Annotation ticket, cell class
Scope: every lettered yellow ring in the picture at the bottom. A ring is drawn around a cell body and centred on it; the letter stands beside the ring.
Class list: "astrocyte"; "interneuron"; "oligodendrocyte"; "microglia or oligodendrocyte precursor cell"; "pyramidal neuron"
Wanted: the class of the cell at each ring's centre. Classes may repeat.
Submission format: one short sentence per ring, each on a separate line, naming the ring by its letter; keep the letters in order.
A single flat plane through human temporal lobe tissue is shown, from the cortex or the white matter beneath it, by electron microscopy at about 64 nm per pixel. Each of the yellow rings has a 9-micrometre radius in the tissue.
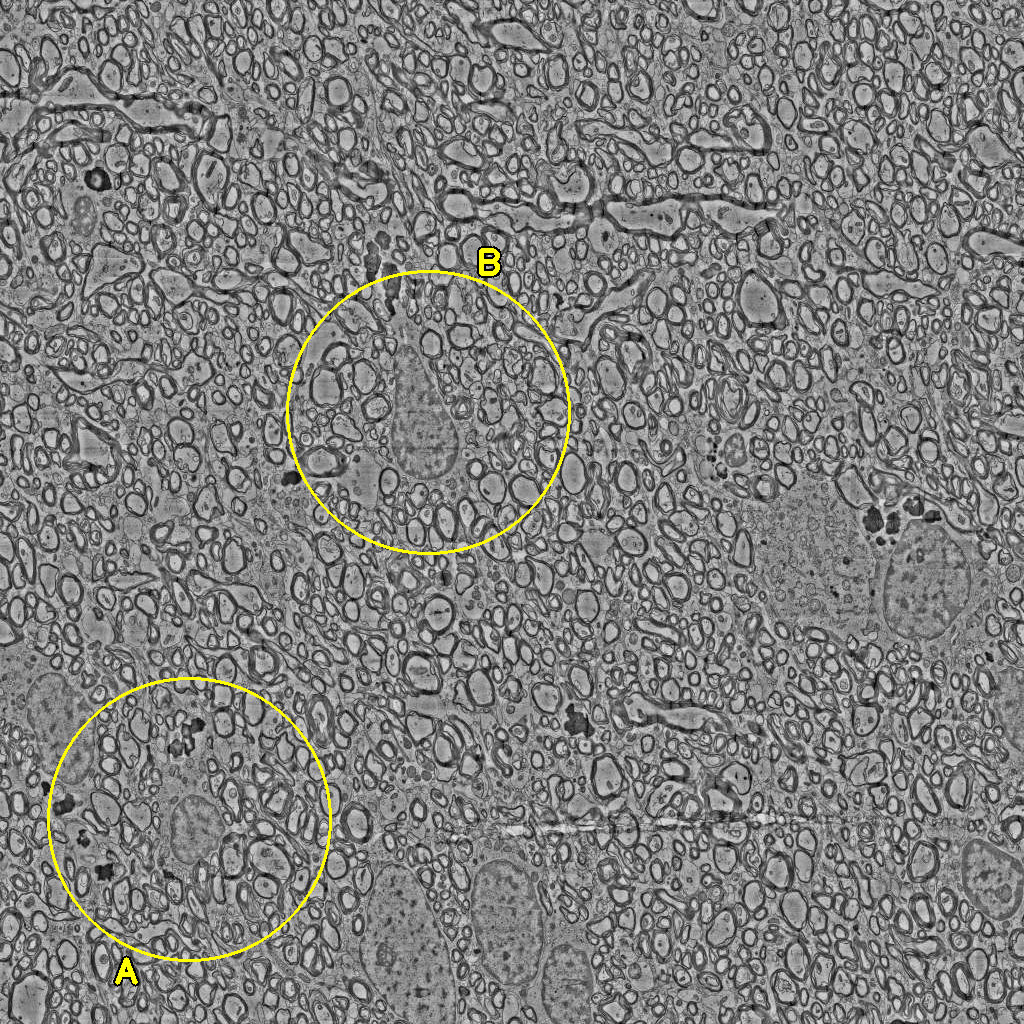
The centre of ring A is occupied by an oligodendrocyte.
The centre of ring B is occupied by an oligodendrocyte.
